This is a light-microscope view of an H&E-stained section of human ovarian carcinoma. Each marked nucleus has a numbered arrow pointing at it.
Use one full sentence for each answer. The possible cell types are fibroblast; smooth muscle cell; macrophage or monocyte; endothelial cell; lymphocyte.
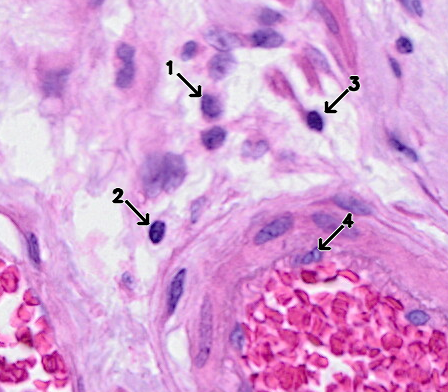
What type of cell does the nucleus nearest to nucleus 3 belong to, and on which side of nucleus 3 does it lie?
Just below and to the left of nucleus 3 lies the nearest nucleus, which belongs to a macrophage or monocyte.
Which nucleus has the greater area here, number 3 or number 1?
Nucleus 1 is larger, with an area about 1.5 times that of nucleus 3.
